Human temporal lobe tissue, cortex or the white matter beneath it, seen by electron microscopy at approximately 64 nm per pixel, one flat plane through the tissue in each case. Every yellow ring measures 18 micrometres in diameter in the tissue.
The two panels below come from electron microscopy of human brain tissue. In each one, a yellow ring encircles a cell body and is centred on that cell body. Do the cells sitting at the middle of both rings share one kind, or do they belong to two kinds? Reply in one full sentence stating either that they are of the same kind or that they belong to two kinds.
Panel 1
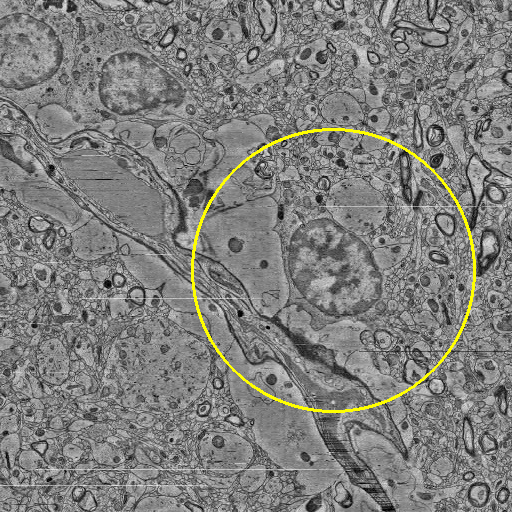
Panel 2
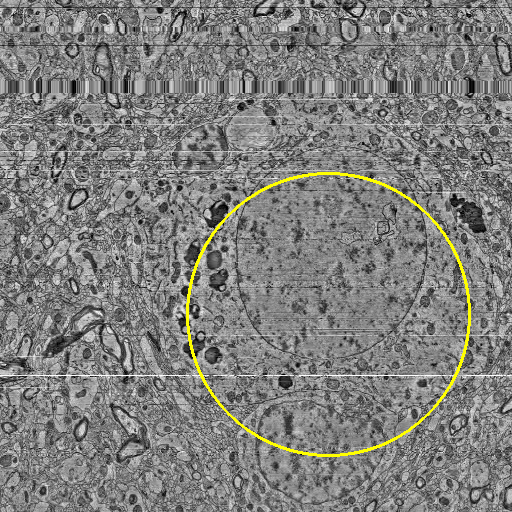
The cells at the centres of the two rings belong to two kinds.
